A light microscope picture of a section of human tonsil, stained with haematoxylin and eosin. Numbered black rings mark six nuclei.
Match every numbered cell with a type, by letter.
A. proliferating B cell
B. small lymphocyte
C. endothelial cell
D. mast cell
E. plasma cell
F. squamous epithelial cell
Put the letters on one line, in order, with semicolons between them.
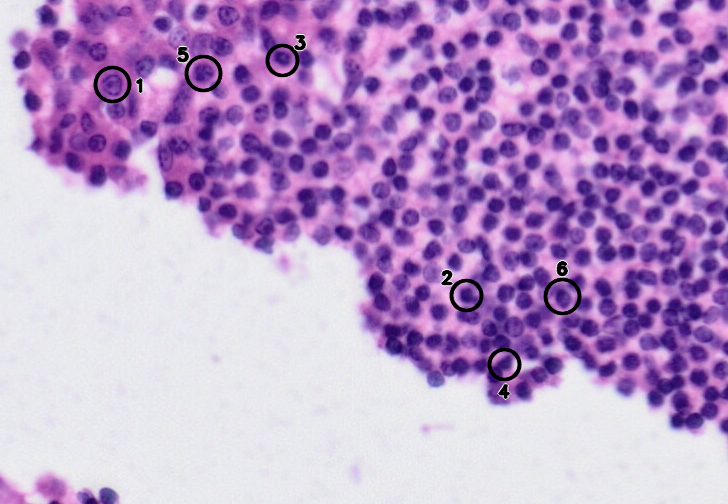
E; B; E; B; E; B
